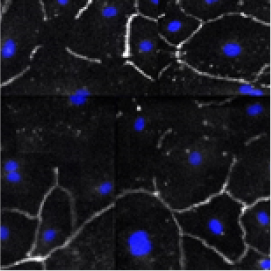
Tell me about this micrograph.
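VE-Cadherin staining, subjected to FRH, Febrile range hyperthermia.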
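Endothelial cell monolayer with blue oval nuclei and white lines marking cell-cell junctions. Many white border lines are discontinuous, with short fragments and gaps between neighbouring cells. Several cells lack a complete white outline, and staining is faint in parts of the field.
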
